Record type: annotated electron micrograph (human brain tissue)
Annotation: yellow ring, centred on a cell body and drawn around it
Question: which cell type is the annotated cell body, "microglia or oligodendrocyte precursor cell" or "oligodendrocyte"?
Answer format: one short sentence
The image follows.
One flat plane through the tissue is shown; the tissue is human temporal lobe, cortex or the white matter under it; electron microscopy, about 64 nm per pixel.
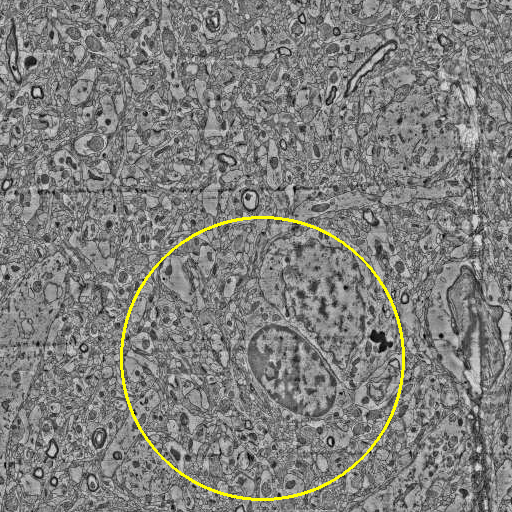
The annotated cell body is that of a microglial cell or oligodendrocyte precursor cell.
